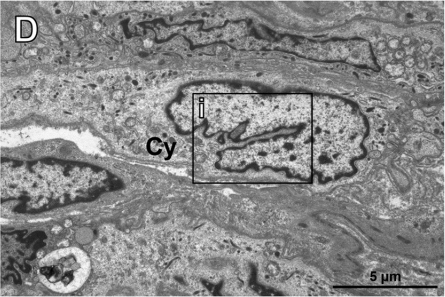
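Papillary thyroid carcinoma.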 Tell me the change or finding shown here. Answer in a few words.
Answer: Very deep but thin invaginations of surrounding cytoplasm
